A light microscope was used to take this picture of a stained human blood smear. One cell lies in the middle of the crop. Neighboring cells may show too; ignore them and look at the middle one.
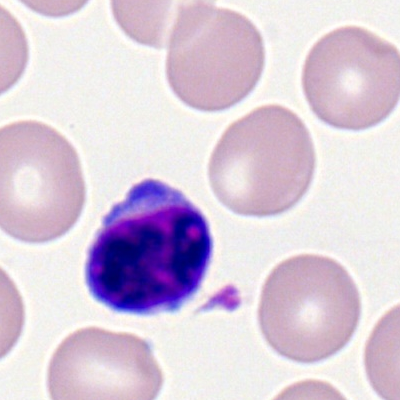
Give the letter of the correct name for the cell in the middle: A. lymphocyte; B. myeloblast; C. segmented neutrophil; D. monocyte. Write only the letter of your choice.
A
